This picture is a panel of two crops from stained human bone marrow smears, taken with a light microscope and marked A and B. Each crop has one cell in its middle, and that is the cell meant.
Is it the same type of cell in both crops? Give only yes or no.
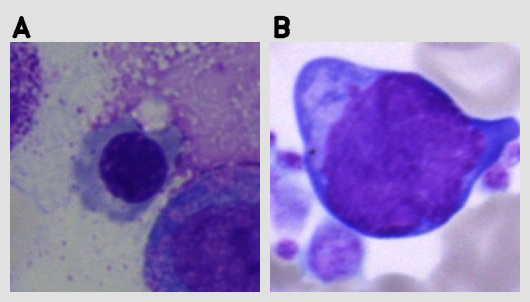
no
